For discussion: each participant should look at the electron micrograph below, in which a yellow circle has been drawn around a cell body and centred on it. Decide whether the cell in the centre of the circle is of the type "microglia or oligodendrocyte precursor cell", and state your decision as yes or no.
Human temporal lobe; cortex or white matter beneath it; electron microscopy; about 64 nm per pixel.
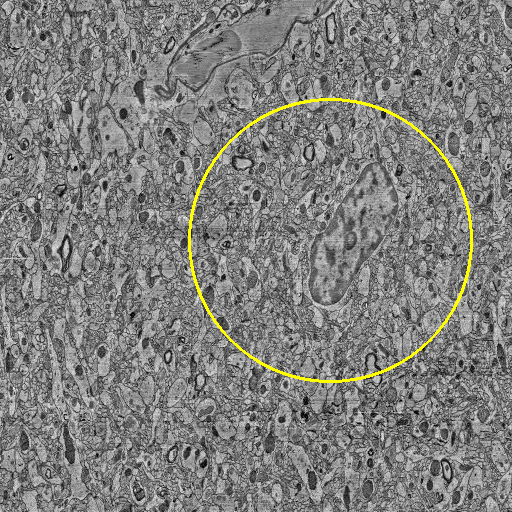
yes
